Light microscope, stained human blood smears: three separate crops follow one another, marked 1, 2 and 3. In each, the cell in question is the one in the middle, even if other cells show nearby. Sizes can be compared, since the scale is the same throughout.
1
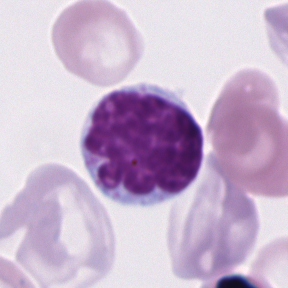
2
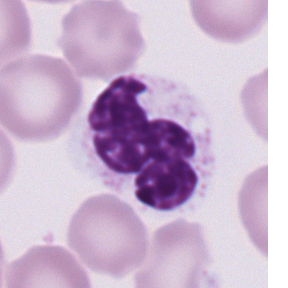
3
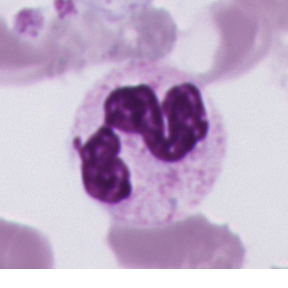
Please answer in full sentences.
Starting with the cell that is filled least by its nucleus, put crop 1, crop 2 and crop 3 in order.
They run 3, 2, 1, the least filled first.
